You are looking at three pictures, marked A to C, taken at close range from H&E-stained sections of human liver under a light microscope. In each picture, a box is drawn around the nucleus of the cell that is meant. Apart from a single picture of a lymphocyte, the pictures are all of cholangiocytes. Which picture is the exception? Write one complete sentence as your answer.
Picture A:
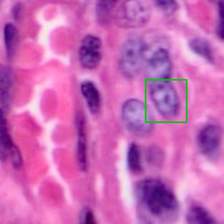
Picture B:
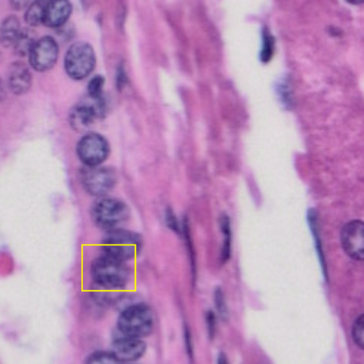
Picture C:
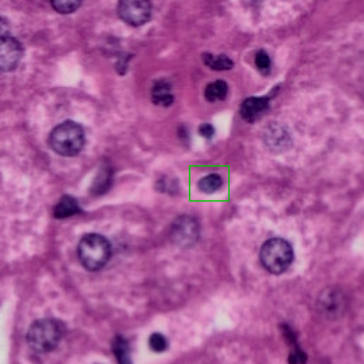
The cell in picture C is the lymphocyte.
